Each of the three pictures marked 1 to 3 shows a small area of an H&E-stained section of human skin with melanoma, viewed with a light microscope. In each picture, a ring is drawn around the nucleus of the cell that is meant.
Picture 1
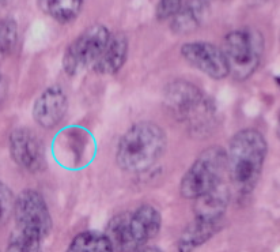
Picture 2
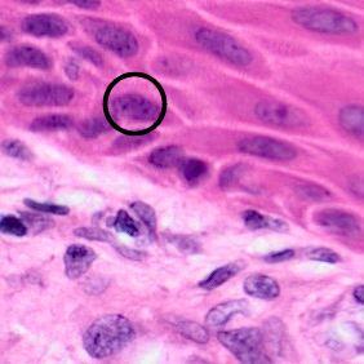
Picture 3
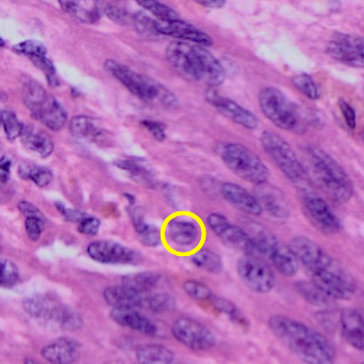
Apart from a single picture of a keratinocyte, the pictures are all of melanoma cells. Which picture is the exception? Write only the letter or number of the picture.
2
